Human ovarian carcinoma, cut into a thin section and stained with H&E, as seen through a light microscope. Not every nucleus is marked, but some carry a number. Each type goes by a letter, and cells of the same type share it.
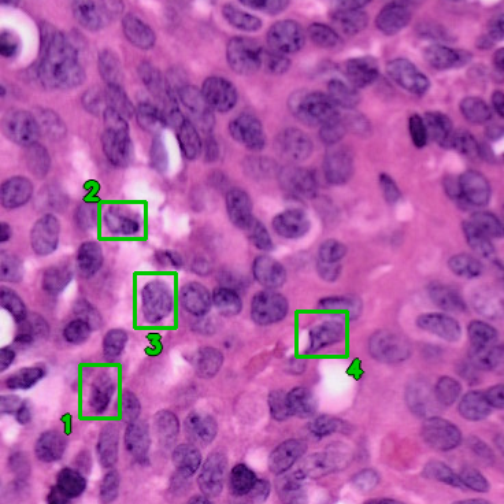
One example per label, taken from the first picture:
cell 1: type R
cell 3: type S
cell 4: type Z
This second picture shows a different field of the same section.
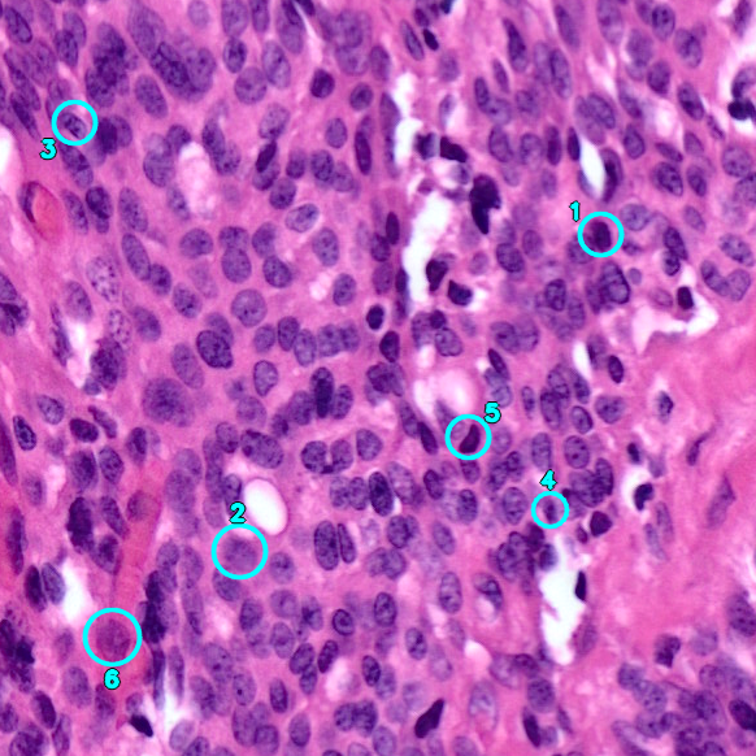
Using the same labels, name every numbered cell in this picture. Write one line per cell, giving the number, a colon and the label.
1: type R
2: type R
3: type S
4: type R
5: type R
6: type Z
